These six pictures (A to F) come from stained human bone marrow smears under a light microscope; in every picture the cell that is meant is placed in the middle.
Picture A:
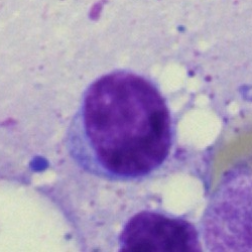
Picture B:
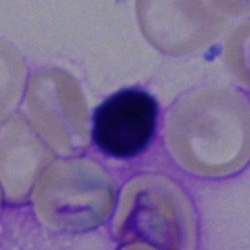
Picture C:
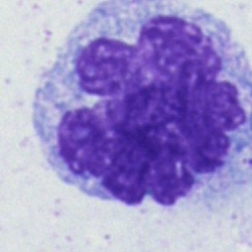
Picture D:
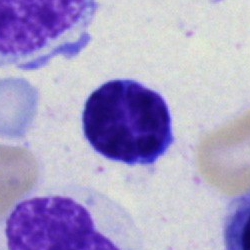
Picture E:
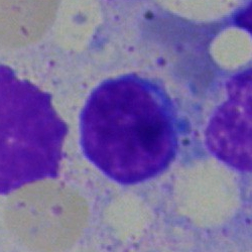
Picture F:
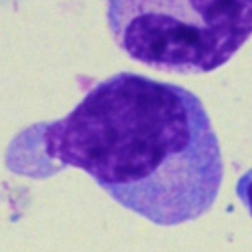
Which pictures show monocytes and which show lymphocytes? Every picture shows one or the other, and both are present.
A: lymphocyte
B: lymphocyte
C: monocyte
D: lymphocyte
E: lymphocyte
F: monocyte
